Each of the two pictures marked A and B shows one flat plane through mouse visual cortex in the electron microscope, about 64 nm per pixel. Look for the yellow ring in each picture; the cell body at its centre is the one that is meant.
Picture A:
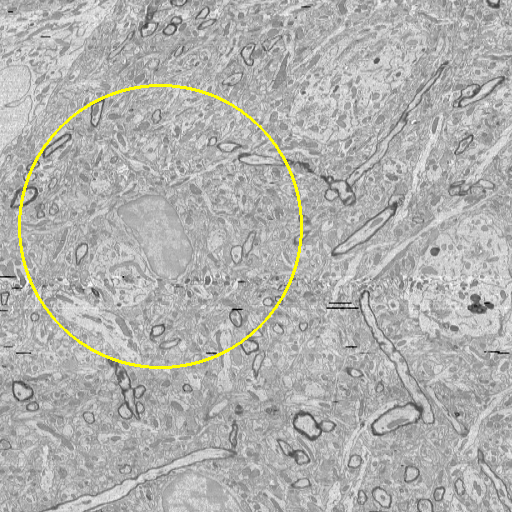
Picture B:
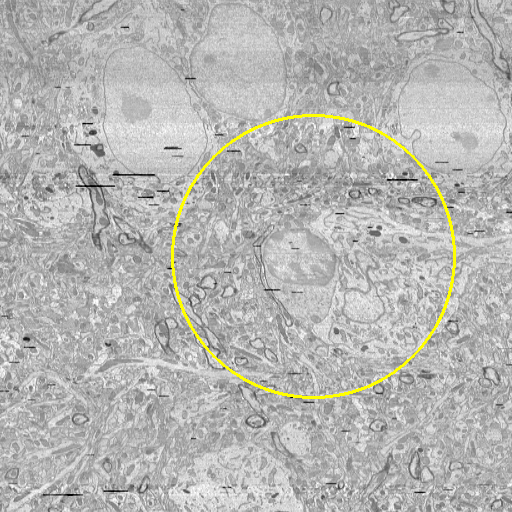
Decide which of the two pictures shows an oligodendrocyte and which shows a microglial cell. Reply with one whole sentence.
Picture A is of a microglial cell, and picture B is of an oligodendrocyte.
